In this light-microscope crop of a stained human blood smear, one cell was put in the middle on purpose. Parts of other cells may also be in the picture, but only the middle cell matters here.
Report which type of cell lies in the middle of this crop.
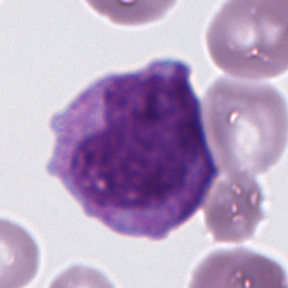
atypical promyelocyte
